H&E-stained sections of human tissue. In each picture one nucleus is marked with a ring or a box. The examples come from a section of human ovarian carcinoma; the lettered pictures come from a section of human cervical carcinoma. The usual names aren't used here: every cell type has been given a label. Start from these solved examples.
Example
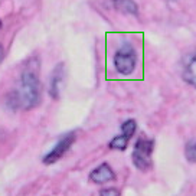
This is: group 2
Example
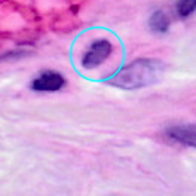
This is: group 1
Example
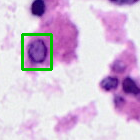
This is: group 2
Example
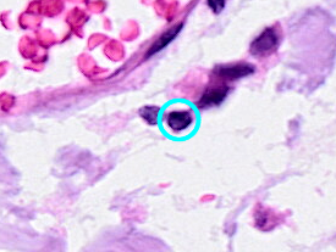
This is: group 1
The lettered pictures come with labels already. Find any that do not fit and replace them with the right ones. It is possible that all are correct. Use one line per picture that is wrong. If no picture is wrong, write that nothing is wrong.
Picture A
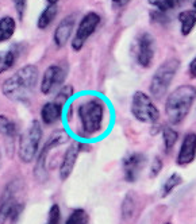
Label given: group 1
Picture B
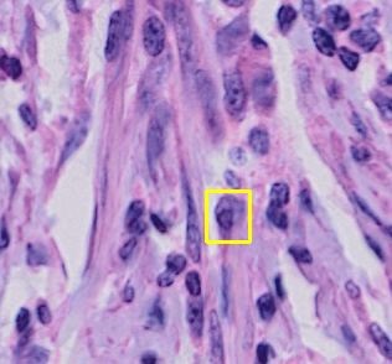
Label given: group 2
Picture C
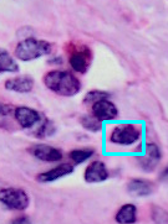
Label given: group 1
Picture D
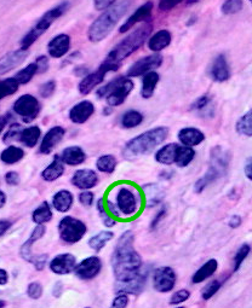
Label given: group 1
All correct.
